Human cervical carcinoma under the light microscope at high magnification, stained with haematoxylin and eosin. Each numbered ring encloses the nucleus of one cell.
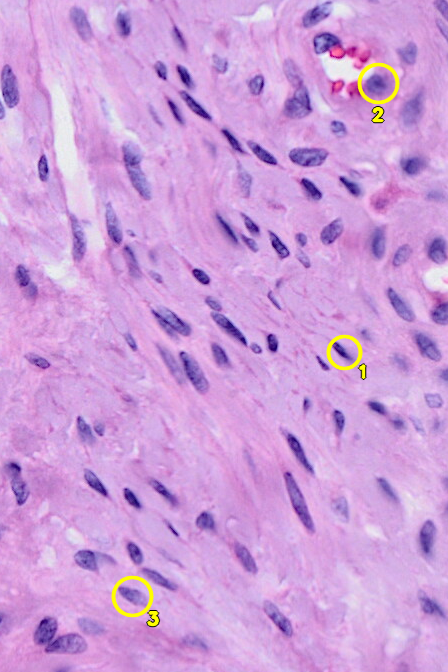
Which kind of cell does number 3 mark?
fibroblast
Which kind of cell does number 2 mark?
endothelial cell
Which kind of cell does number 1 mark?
fibroblast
